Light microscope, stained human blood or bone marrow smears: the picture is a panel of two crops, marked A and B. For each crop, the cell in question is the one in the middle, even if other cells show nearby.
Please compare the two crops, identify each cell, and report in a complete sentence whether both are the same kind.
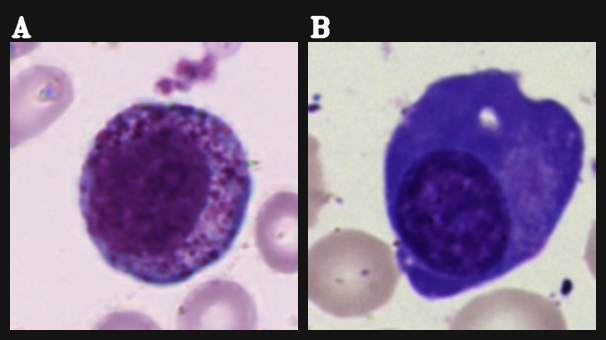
No, the cell shown in crop A is a promyelocyte, and the cell shown in crop B is a plasma cell.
